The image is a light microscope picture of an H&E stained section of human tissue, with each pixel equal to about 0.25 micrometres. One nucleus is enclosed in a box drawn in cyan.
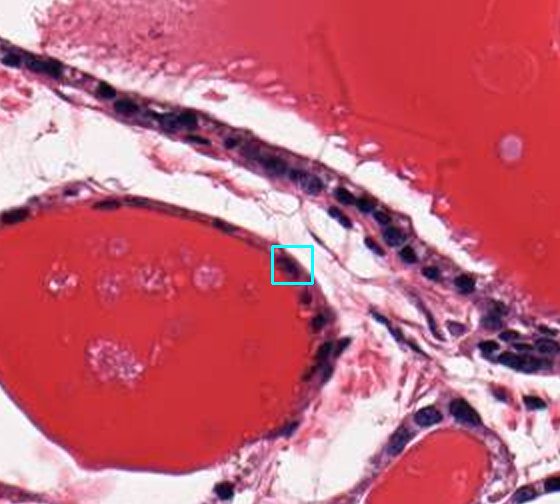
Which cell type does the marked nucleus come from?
thyroid follicular cell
